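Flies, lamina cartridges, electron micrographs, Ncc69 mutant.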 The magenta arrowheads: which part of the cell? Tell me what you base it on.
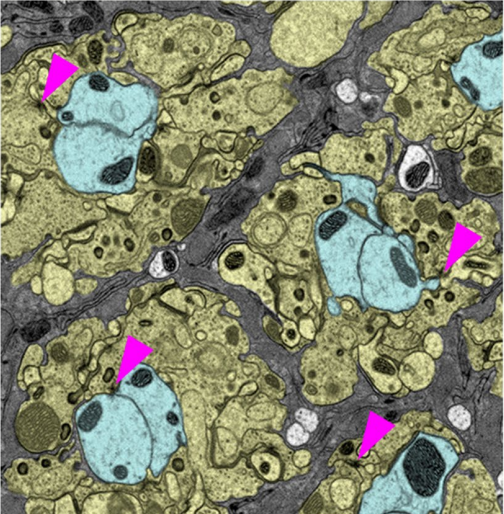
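T-bars. Each arrowhead points to a small dark dense structure at a membrane.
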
